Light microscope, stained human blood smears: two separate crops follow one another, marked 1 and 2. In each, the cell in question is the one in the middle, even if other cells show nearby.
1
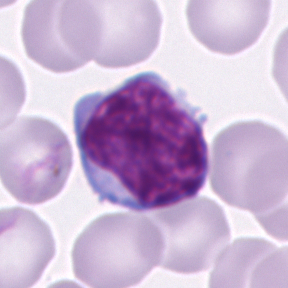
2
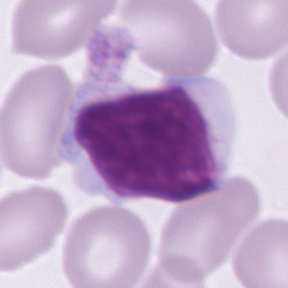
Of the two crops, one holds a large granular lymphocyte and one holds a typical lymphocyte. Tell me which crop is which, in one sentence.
The designated cell in crop 1 is a typical lymphocyte, and the designated cell in crop 2 is a large granular lymphocyte.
